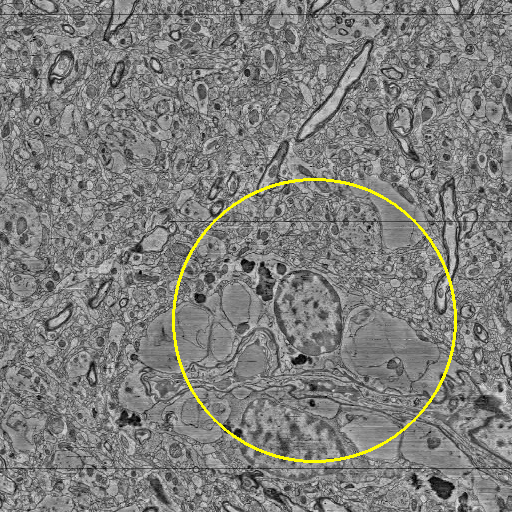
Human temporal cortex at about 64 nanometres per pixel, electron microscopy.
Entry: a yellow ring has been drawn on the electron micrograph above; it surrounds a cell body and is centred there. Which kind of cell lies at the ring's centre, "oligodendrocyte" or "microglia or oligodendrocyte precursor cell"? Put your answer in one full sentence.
The cell sitting at the ring's centre is a microglial cell or oligodendrocyte precursor cell in the micrograph above.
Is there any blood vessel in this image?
Yes.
